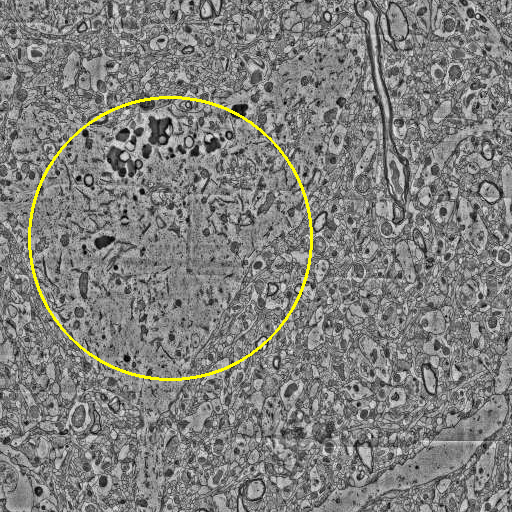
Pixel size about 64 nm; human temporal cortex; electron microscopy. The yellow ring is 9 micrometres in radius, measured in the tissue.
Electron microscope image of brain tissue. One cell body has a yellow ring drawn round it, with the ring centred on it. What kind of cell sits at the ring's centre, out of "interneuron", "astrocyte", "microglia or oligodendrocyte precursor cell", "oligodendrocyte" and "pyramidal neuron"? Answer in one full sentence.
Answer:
It is a pyramidal neuron whose cell body sits at the centre of the yellow ring.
